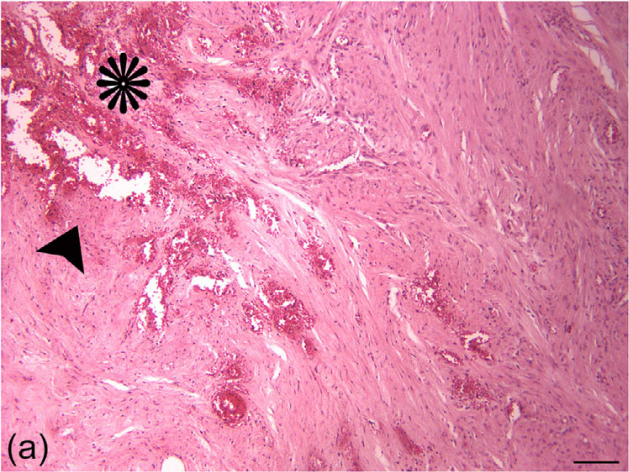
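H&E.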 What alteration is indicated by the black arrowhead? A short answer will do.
Necrosis.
